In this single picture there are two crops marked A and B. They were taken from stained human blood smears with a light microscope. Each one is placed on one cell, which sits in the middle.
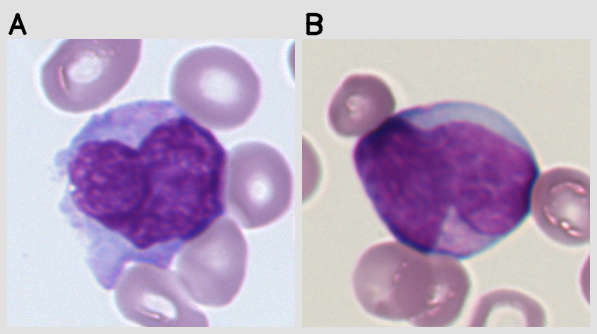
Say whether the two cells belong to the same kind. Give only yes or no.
yes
